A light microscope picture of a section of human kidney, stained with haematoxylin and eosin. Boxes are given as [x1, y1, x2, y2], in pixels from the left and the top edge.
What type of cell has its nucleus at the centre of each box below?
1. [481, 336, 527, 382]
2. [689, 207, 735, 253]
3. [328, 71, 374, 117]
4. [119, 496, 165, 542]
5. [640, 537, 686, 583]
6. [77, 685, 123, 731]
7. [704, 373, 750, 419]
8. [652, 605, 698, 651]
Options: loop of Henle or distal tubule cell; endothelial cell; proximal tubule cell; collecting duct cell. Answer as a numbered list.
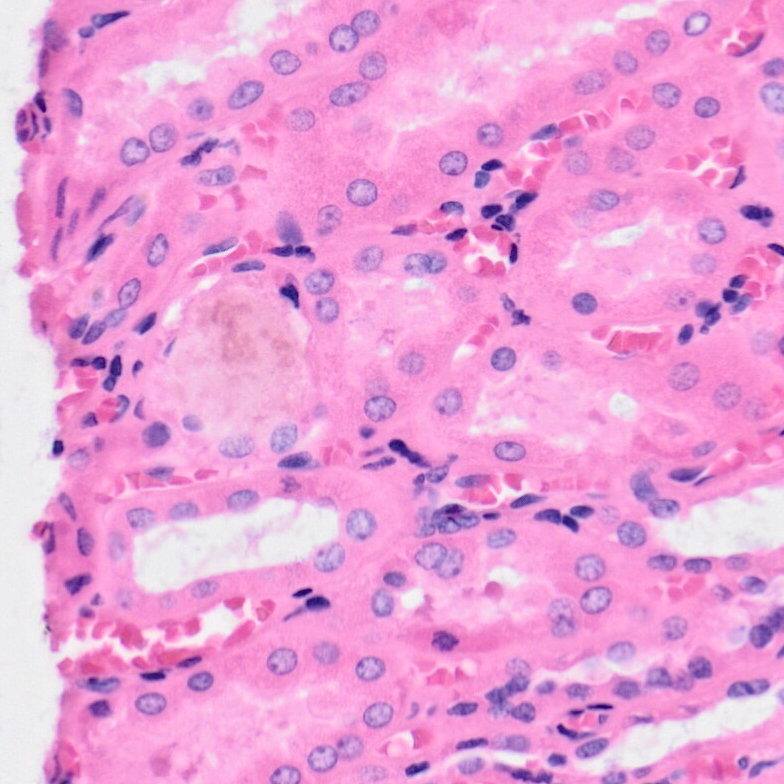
1. proximal tubule cell
2. proximal tubule cell
3. proximal tubule cell
4. loop of Henle or distal tubule cell
5. loop of Henle or distal tubule cell
6. proximal tubule cell
7. proximal tubule cell
8. loop of Henle or distal tubule cell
